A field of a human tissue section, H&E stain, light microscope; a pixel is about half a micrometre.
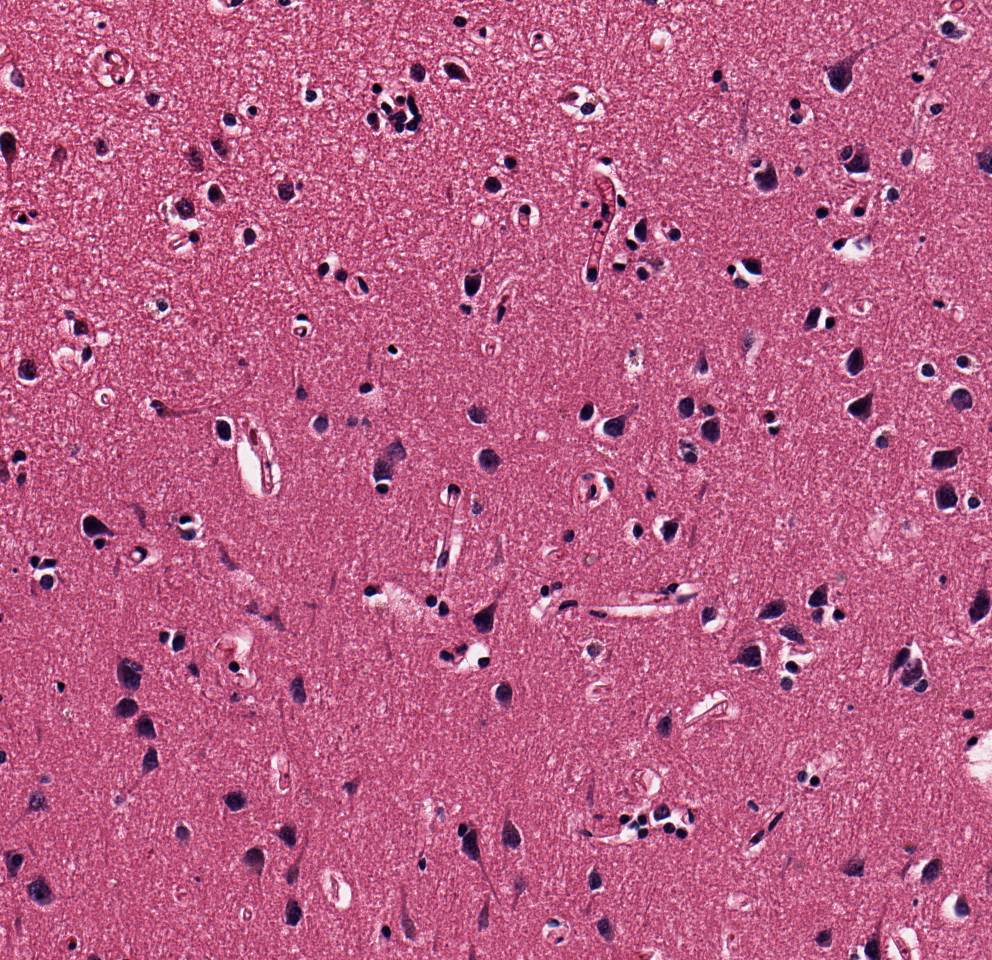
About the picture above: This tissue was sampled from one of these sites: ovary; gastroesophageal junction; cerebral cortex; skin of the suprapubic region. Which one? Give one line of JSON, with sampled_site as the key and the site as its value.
{"sampled_site": "cerebral cortex"}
